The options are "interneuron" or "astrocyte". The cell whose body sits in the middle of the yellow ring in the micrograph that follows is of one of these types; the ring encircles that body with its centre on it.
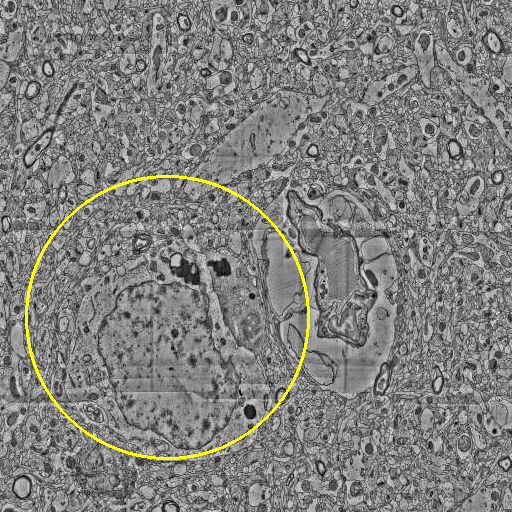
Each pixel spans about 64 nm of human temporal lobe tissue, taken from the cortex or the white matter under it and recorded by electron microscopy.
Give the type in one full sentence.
Going by the micrograph, the cell centred in the yellow ring is an interneuron.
